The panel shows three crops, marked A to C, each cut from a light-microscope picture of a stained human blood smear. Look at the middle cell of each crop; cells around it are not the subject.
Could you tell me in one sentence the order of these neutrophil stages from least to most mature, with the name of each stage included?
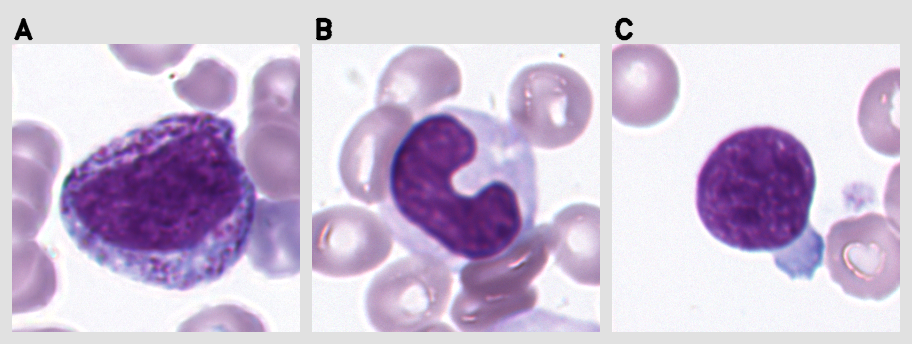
Ordered by maturation stage, least mature first, these are crop C (a blast), crop A (a promyelocyte) and crop B (a band neutrophil).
